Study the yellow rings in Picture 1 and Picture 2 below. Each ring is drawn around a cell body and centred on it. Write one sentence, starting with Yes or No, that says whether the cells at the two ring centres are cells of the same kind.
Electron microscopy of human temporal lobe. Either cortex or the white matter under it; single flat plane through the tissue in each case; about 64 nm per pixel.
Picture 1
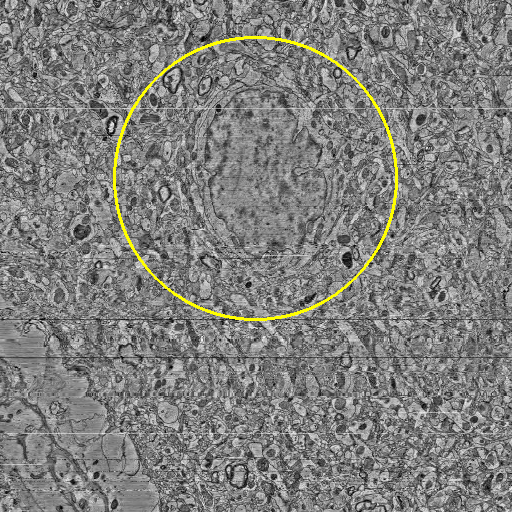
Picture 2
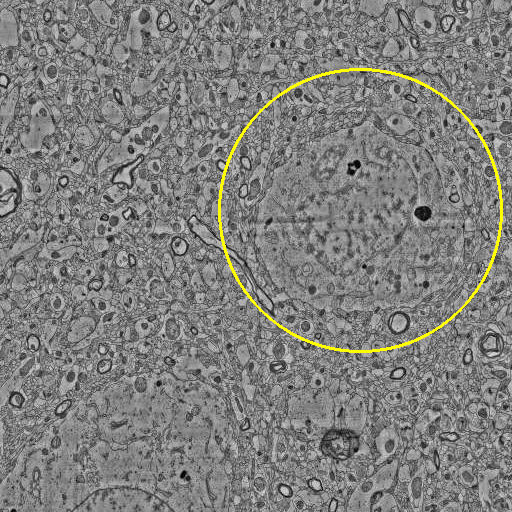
Yes, the cells at both ring centres are of the same kind.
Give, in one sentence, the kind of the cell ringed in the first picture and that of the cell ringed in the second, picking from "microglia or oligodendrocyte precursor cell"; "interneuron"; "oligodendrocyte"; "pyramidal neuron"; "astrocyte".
Each cell, in the first picture and the second, is an interneuron.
